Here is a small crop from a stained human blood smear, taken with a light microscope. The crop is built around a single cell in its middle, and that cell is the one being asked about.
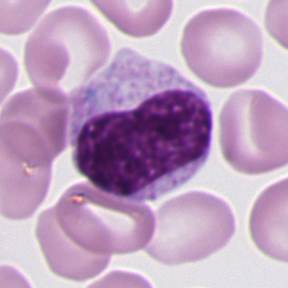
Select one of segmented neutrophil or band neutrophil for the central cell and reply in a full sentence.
The cell under consideration, at the middle of the crop, is a band neutrophil.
